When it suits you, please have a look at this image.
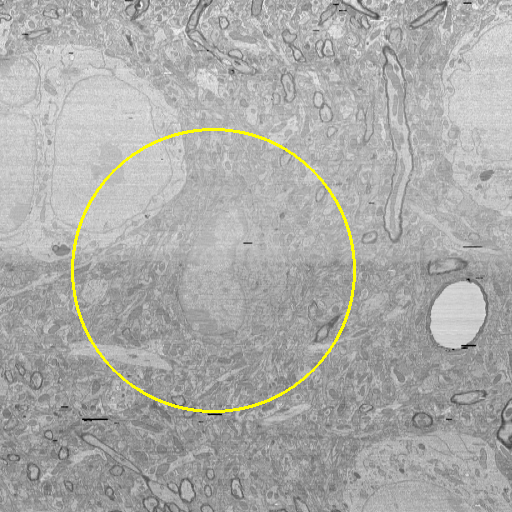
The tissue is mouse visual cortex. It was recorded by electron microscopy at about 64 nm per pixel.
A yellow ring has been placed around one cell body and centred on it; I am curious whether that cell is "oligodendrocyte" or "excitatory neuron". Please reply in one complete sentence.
The ringed cell, an oligodendrocyte, has its body at the centre of the yellow ring.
